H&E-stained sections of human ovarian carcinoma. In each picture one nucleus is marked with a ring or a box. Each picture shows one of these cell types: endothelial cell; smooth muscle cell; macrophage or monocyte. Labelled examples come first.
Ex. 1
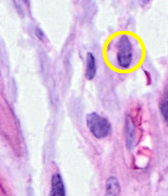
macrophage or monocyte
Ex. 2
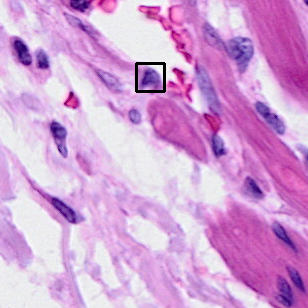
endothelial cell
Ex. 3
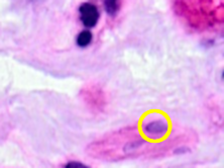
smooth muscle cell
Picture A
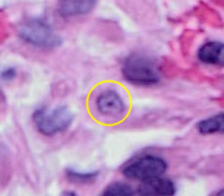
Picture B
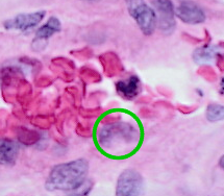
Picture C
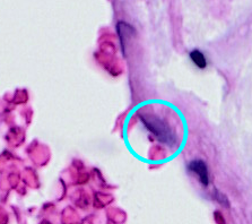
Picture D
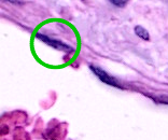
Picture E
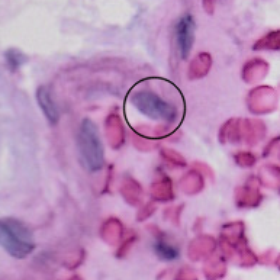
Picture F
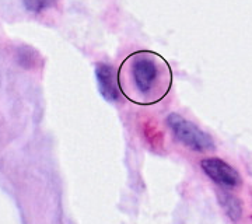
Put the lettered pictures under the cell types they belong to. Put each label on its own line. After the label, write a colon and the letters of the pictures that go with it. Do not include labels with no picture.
endothelial cell: B, C, D, E
macrophage or monocyte: A, F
